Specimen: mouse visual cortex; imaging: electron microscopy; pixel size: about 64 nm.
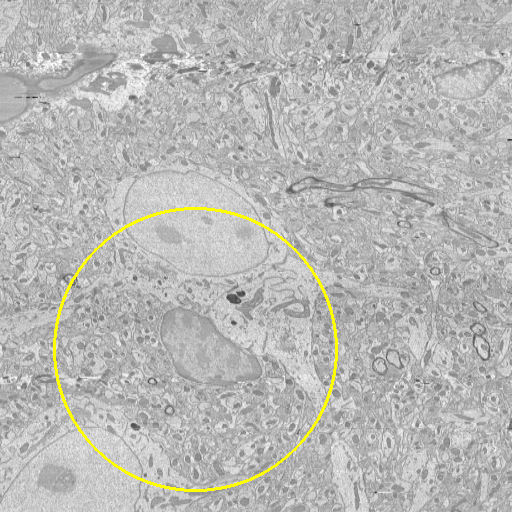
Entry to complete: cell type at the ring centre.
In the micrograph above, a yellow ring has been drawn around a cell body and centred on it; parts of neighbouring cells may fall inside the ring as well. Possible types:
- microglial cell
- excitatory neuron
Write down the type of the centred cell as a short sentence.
The ring is centred on a microglial cell.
